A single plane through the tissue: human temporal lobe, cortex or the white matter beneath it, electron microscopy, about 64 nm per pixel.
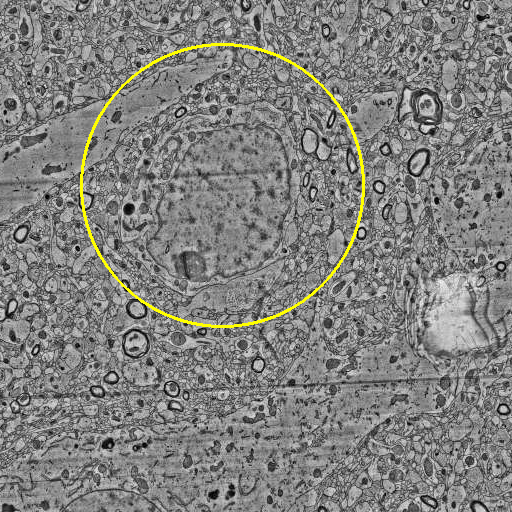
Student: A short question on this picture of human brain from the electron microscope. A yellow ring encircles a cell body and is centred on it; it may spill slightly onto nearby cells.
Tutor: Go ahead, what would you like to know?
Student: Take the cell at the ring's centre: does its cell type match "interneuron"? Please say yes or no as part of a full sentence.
Yes, in the picture, the cell at the ring's centre has that cell type.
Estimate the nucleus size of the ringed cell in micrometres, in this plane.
In this plane the nucleus is about 11 micrometres by 8.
